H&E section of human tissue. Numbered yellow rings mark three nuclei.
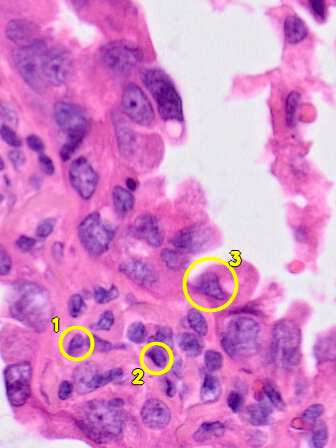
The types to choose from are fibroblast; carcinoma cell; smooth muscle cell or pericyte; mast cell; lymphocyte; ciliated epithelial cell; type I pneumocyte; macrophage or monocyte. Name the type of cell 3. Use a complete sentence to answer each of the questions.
Cell 3 in the field is a carcinoma cell.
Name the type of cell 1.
The cell referenced by the number 1 is a lymphocyte in this field.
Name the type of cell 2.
The correct label for cell 2 is a lymphocyte.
